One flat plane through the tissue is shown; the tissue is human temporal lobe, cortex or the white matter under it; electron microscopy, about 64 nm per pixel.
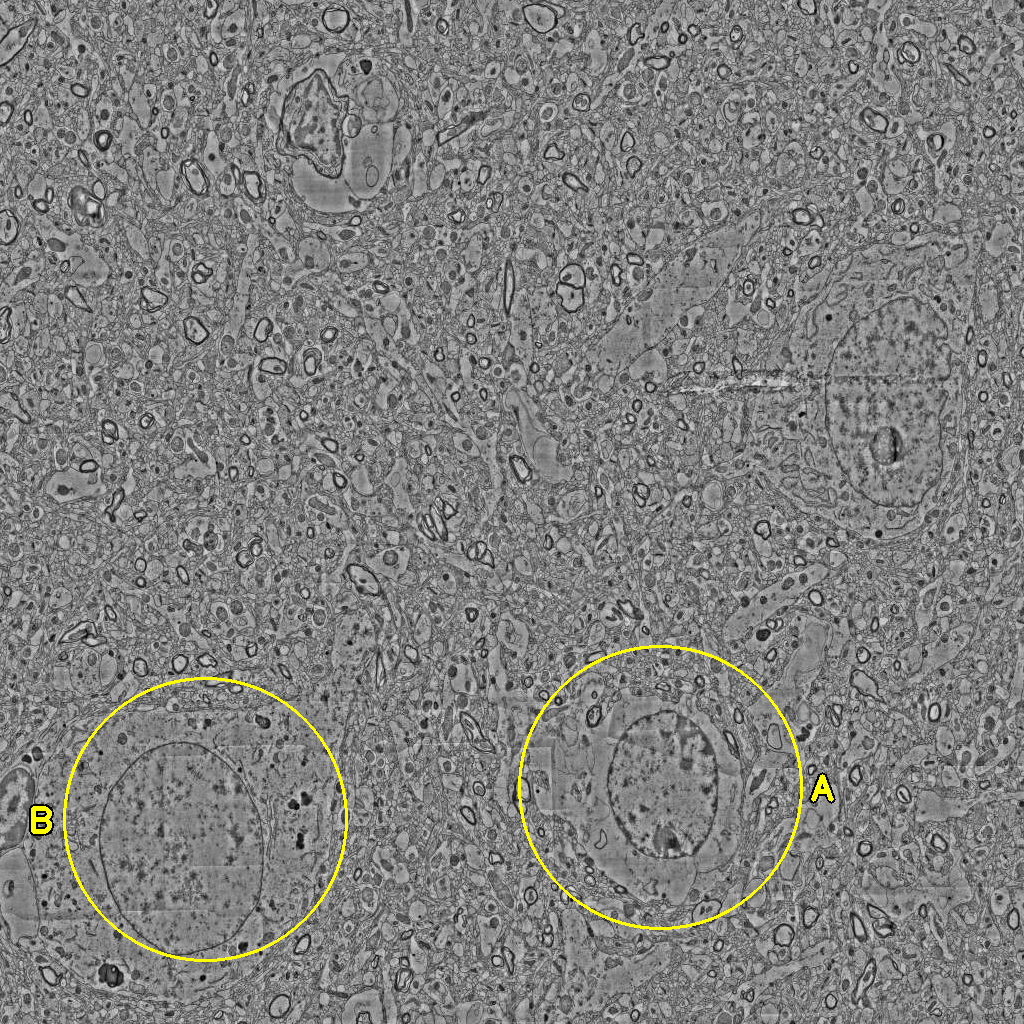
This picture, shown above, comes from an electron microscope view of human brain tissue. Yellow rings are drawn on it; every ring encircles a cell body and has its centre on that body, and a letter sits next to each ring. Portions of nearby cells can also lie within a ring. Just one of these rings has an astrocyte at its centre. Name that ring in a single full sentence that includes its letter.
In the picture, ring A has the cell asked for at its centre.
